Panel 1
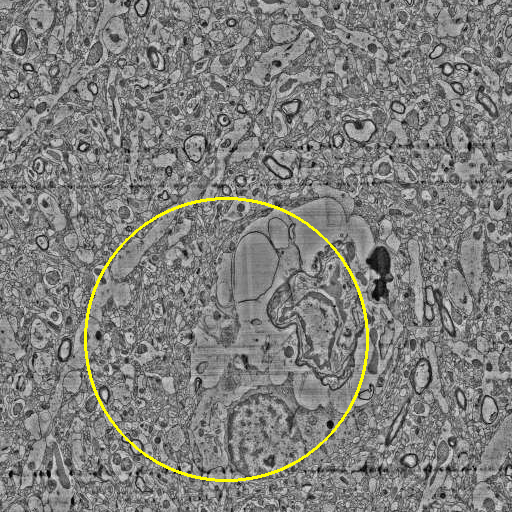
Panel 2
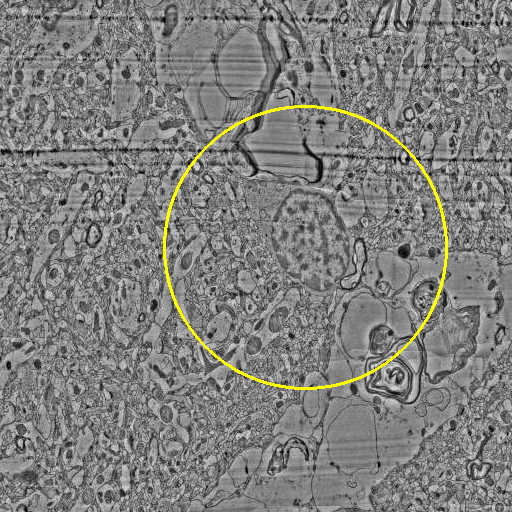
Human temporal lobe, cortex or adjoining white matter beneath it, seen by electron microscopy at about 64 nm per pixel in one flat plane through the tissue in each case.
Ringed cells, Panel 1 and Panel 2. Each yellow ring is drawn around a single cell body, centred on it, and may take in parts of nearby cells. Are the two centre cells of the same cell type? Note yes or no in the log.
no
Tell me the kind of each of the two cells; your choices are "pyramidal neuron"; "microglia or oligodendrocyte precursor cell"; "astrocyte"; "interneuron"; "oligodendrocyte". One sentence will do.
The ringed cell is a microglial cell or oligodendrocyte precursor cell in the first picture and an oligodendrocyte in the second picture.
